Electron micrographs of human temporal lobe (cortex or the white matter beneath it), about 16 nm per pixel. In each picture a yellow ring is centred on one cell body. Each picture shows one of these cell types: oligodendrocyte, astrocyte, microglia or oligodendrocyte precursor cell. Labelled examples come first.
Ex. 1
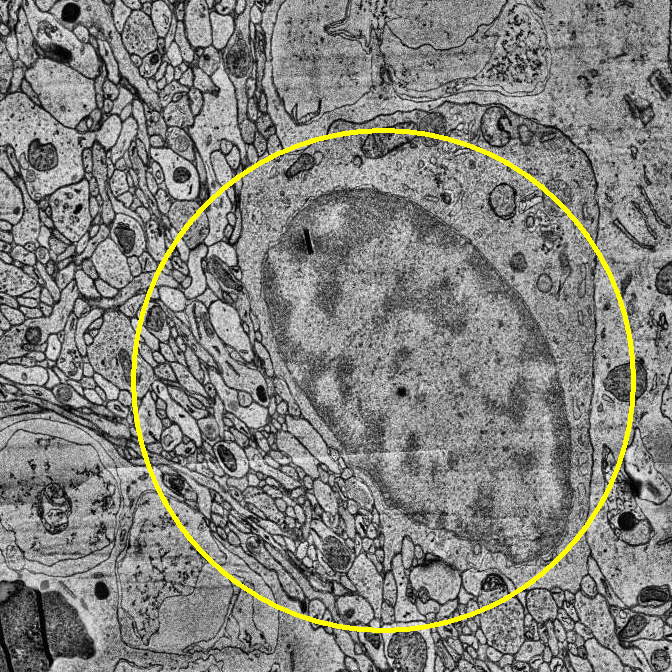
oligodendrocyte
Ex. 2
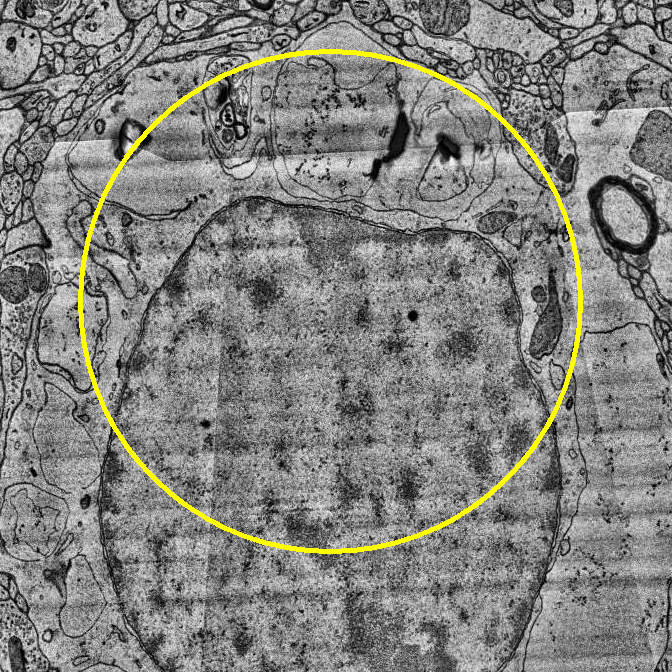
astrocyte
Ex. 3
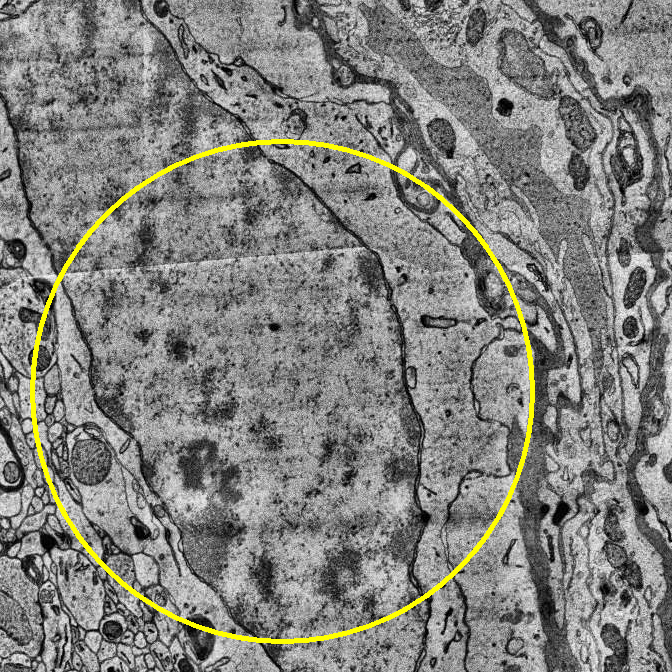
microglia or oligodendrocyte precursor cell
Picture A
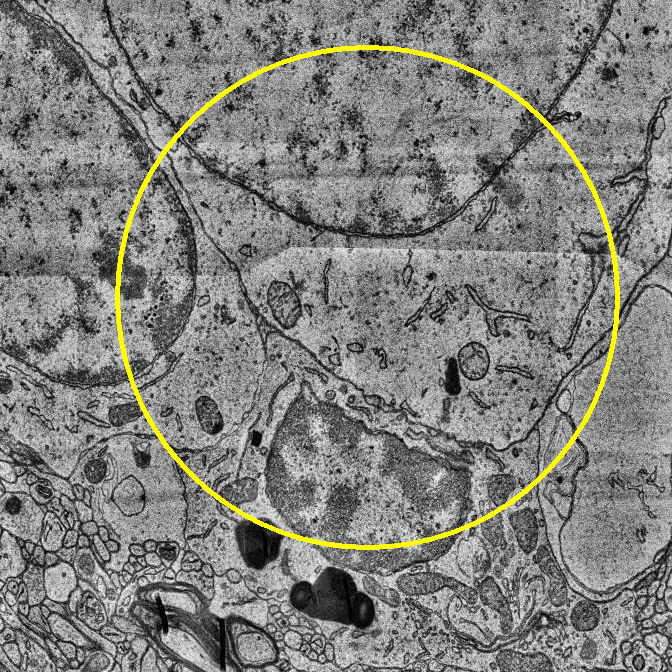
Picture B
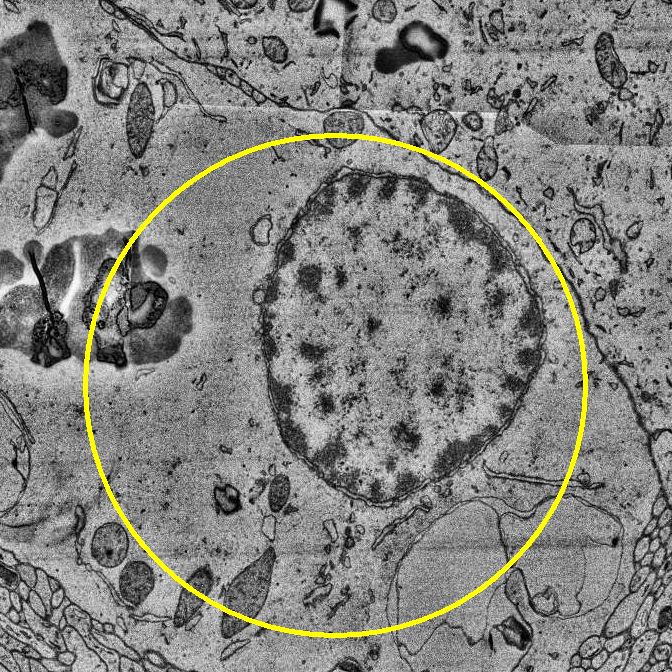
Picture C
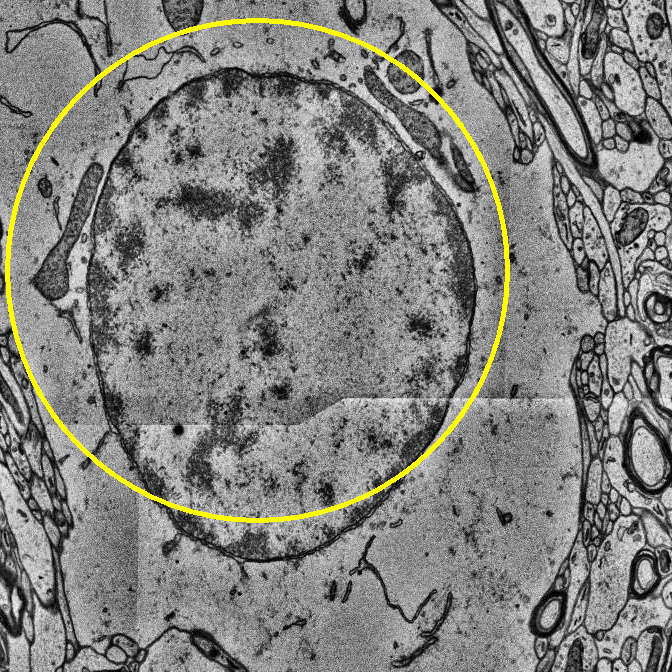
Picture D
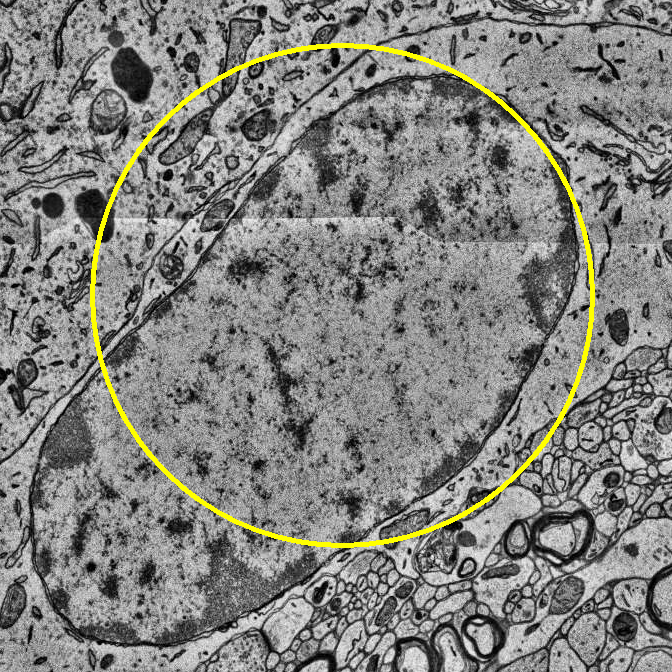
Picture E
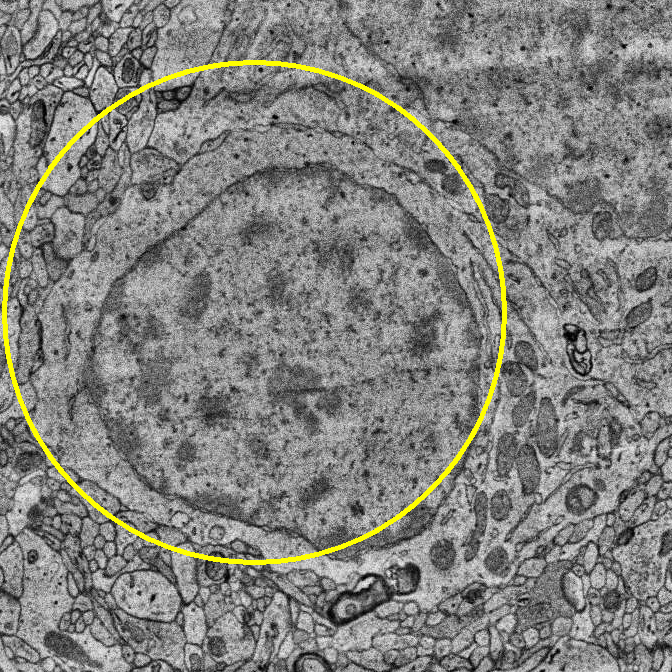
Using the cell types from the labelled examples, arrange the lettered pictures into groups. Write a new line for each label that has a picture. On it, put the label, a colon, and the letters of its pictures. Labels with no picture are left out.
astrocyte: B, C
microglia or oligodendrocyte precursor cell: A, D, E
